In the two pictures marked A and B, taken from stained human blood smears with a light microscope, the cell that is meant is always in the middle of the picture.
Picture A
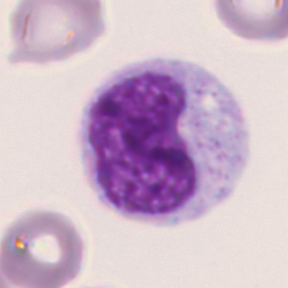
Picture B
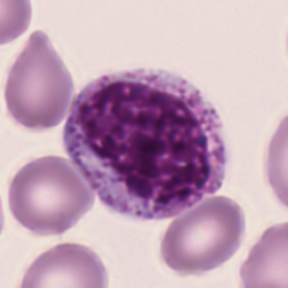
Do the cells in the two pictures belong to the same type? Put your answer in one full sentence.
Yes; the cells in both pictures are metamyelocytes.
